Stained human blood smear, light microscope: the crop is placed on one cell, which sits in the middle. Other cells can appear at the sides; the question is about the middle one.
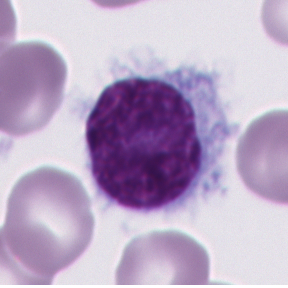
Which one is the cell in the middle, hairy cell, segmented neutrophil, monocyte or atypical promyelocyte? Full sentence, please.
Here the centrally located cell is a hairy cell.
